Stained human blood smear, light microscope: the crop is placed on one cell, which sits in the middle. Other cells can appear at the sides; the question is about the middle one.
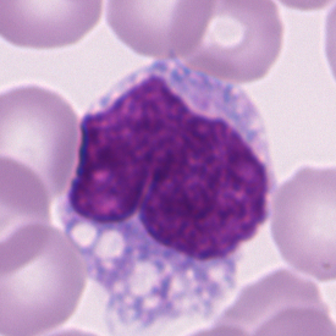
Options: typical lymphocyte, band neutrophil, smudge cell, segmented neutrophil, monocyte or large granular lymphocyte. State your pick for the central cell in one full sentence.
The cell around which this crop is centred is a monocyte.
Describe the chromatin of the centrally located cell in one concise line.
What stands out is fine chromatin lacking any coarse clumps.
